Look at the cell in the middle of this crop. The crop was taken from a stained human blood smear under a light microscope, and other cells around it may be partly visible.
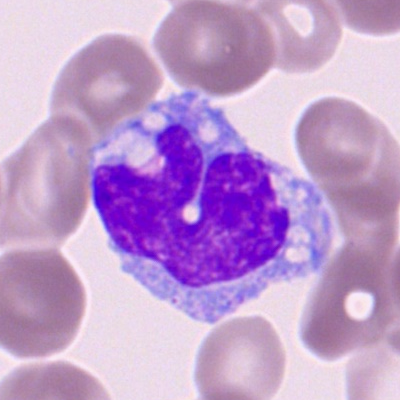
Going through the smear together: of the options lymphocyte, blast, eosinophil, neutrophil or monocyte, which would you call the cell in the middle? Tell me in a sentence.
The target cell in the middle of the crop is a monocyte.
